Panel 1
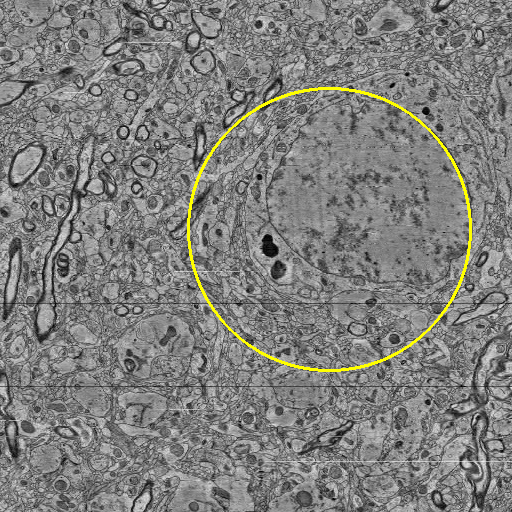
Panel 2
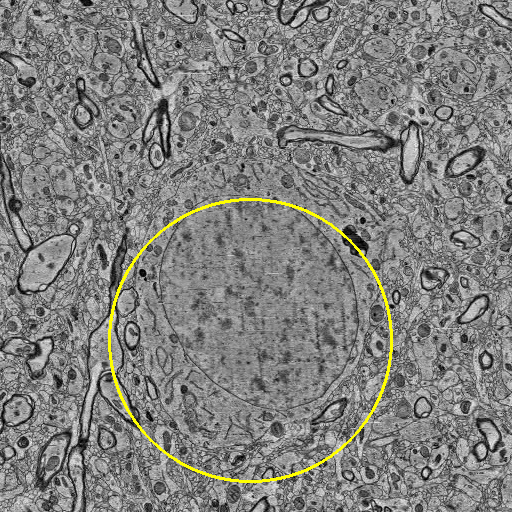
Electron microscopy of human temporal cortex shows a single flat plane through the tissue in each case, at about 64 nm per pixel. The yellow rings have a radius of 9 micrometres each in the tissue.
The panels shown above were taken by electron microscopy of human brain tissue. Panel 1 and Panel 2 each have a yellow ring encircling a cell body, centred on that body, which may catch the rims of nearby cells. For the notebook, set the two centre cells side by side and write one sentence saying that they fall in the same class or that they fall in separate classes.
The centred cells of Panel 1 and Panel 2 fall in the same class.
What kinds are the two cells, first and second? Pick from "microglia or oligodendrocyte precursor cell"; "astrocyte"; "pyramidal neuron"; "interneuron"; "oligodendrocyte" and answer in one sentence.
Each of the two cells is a pyramidal neuron.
